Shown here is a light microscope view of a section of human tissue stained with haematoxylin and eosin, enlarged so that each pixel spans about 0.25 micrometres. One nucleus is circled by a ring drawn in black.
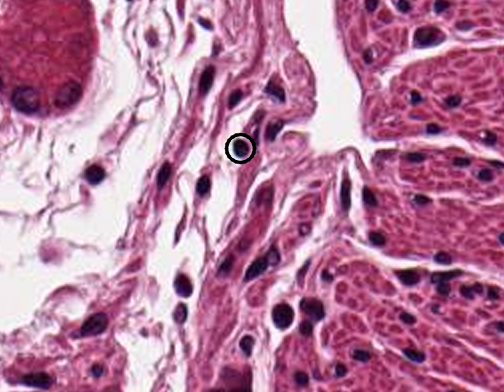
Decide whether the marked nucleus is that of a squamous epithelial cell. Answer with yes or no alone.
no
